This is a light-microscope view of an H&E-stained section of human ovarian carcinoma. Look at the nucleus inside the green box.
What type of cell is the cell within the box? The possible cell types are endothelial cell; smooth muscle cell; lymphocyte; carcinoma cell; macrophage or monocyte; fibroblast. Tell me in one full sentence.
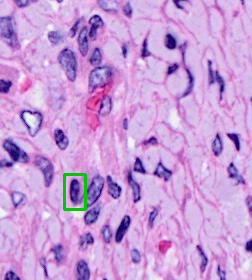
Within the stained tissue, the cell within the box is a lymphocyte.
